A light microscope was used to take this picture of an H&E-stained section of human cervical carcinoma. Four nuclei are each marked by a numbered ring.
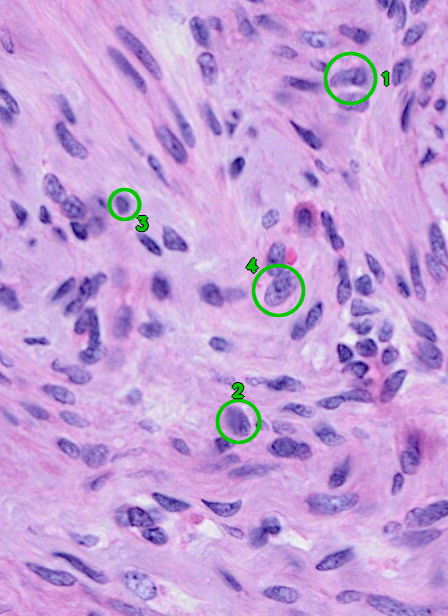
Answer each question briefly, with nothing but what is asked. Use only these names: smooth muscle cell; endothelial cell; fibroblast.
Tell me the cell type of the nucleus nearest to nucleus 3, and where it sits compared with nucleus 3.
an endothelial cell, to the left of nucleus 3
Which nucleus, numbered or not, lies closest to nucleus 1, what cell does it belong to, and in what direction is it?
a fibroblast below nucleus 1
